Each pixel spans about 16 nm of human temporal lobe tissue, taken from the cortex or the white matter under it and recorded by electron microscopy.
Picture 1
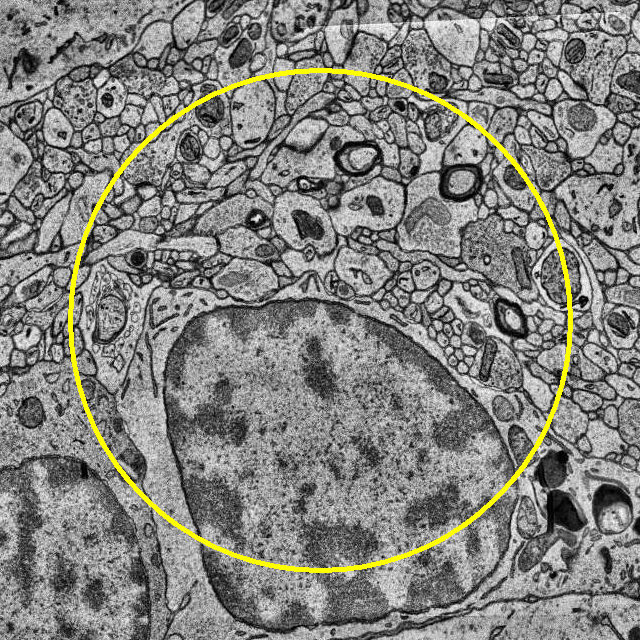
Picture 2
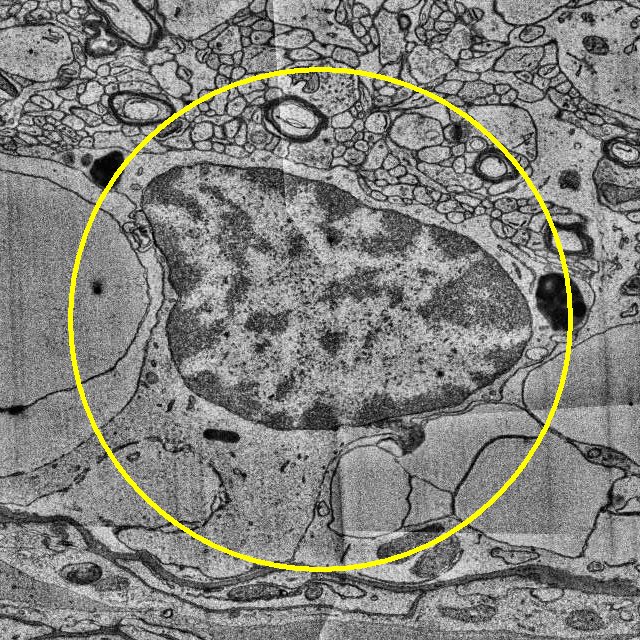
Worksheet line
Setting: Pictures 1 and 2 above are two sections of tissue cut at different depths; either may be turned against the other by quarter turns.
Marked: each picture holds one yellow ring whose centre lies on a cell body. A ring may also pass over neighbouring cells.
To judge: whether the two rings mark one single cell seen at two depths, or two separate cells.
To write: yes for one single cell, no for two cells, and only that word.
no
